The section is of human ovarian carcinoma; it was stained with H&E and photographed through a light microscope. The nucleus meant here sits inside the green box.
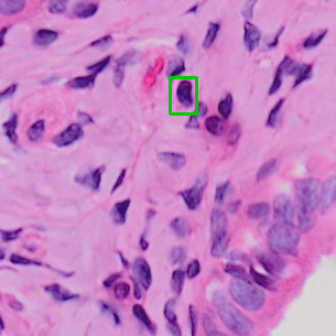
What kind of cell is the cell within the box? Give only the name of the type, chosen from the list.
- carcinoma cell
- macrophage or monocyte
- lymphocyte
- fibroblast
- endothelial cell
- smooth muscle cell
lymphocyte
